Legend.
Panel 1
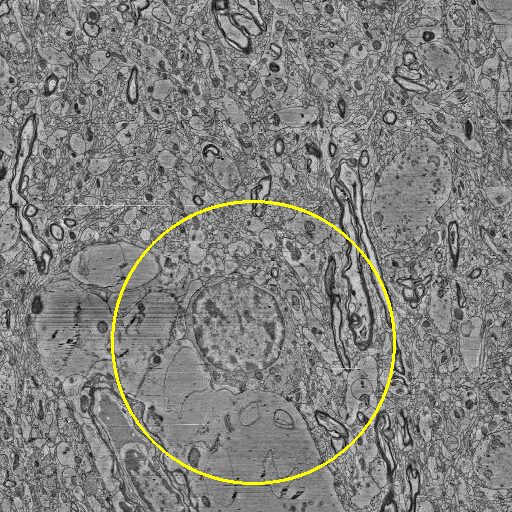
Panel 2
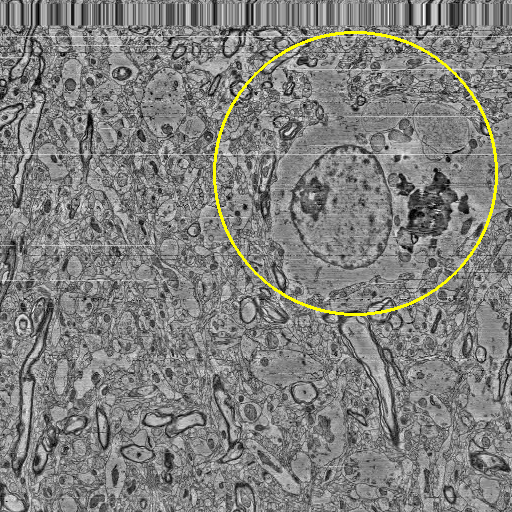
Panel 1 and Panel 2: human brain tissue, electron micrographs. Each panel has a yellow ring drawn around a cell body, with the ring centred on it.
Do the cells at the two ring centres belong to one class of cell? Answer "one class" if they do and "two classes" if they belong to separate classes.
two classes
